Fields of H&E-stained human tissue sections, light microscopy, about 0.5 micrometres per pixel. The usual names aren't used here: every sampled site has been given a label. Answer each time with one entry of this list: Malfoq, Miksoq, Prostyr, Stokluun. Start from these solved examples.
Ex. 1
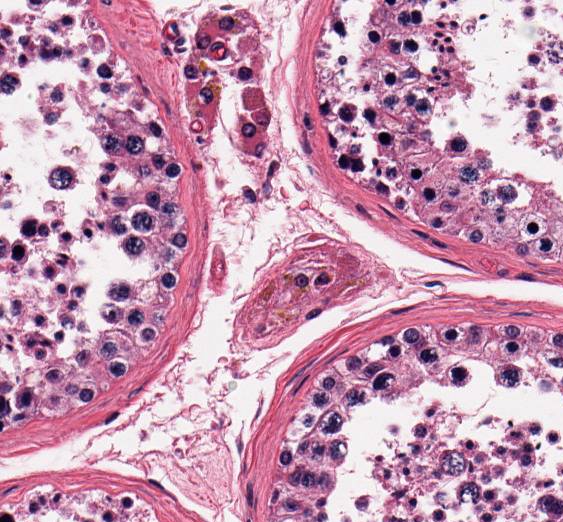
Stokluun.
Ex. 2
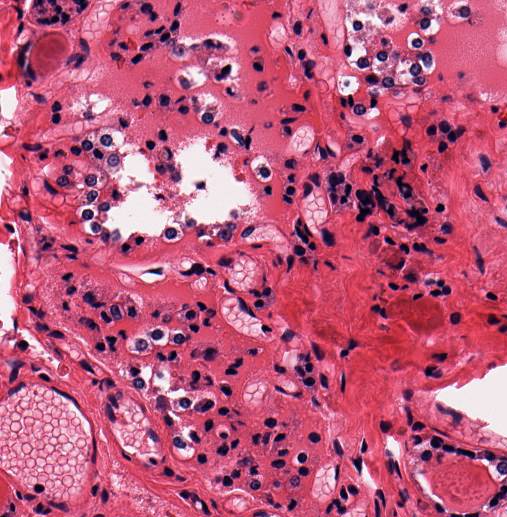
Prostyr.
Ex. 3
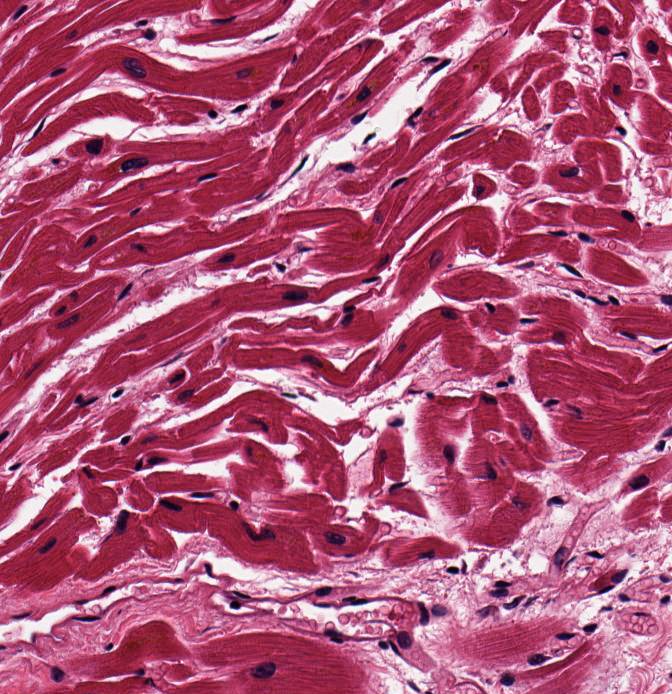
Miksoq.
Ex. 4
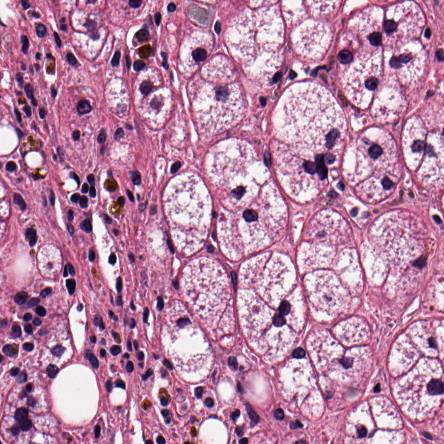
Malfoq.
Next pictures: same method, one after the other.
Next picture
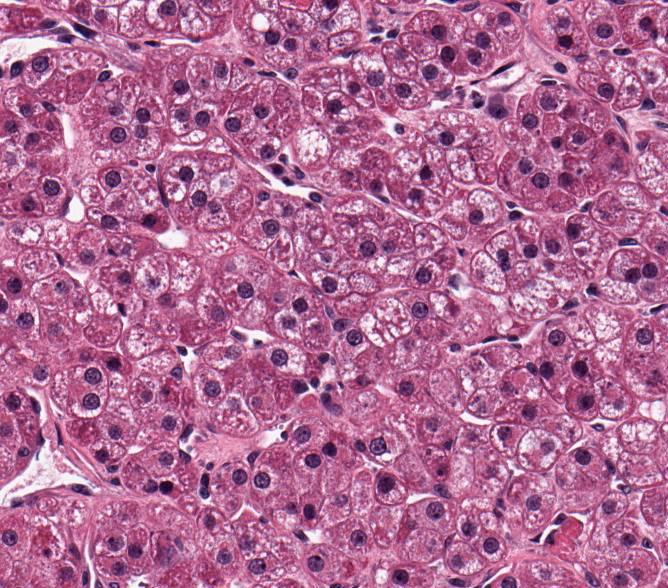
Malfoq.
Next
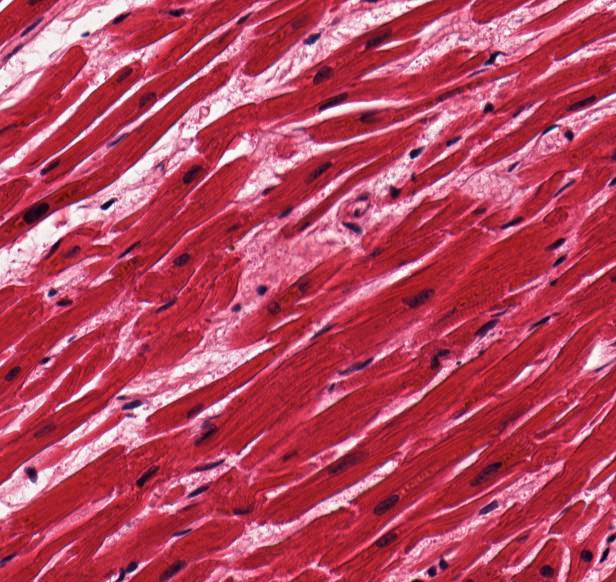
Miksoq.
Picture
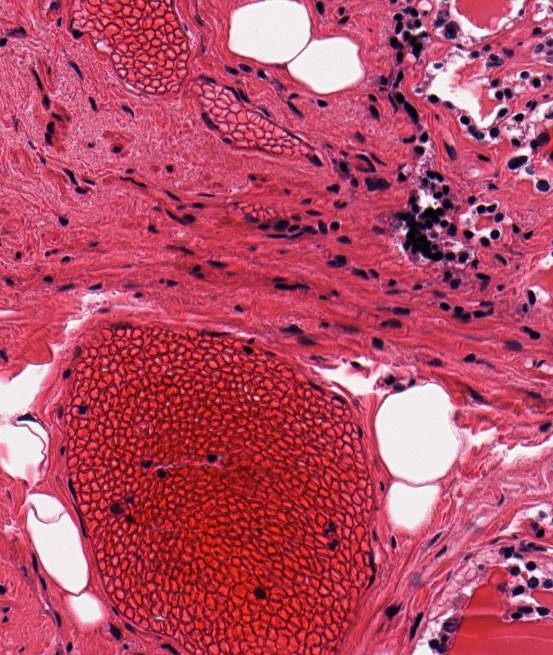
Prostyr.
